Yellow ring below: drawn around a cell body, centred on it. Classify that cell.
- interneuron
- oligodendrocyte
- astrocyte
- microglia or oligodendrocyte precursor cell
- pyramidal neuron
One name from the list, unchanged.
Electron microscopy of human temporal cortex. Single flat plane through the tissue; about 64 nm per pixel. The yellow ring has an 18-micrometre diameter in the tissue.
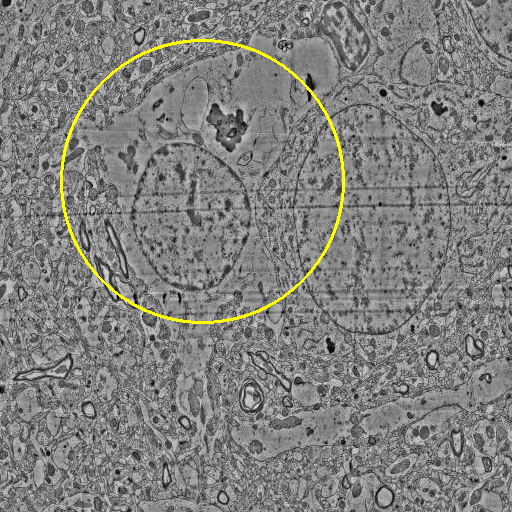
astrocyte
